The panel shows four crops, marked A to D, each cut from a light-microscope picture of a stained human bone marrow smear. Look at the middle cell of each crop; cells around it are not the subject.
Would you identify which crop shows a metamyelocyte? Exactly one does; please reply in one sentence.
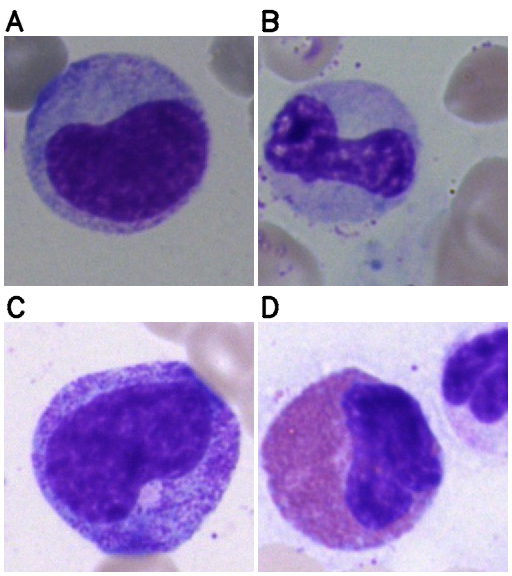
Crop A matches the request, showing a metamyelocyte.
